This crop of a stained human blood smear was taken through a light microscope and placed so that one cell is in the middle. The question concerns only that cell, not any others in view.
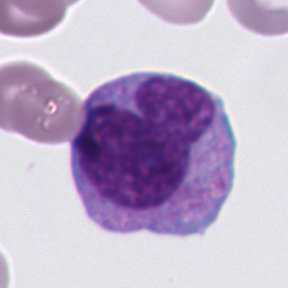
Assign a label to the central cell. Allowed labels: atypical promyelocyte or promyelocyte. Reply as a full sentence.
The cell around which this crop is centred is an atypical promyelocyte.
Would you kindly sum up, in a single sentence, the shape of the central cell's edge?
If you check the edge, you will find it smooth without projections.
